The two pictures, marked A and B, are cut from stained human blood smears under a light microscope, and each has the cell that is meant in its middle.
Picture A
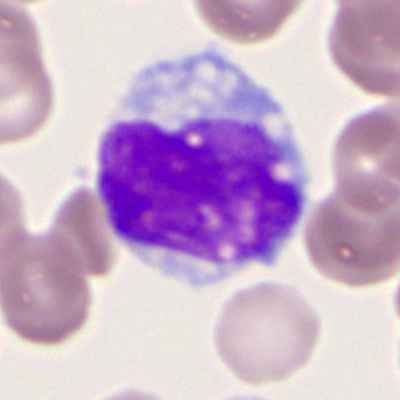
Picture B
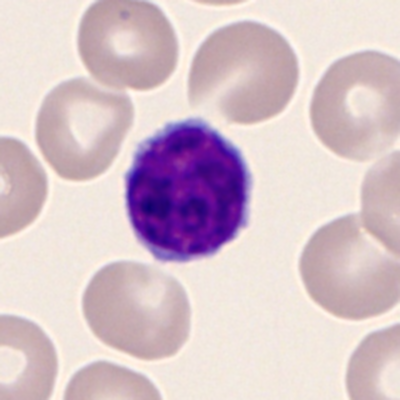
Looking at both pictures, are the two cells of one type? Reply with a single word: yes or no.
no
